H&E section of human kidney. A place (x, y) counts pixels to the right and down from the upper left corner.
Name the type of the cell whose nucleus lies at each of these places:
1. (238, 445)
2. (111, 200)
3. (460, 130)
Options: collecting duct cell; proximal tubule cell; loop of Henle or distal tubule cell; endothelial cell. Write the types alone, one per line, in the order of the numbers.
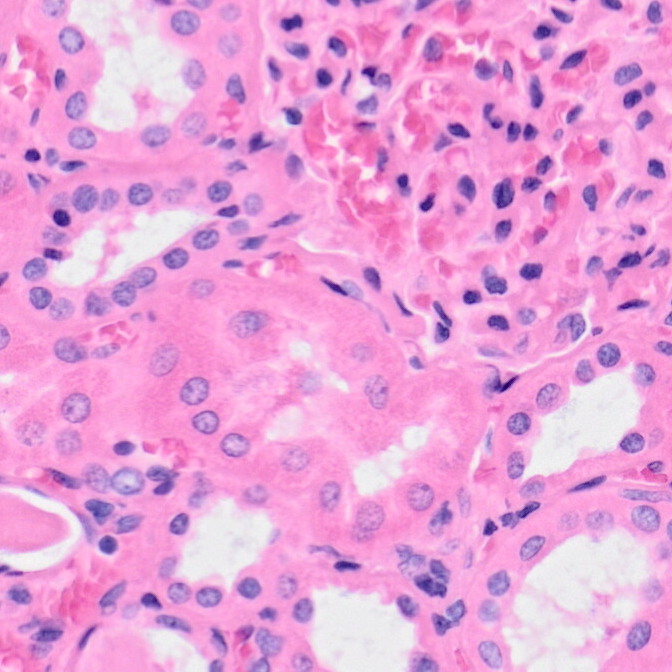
proximal tubule cell
collecting duct cell
endothelial cell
